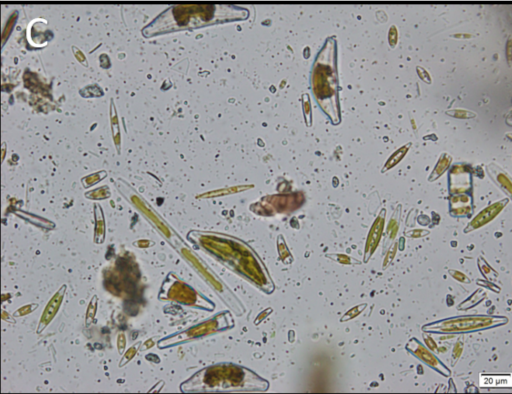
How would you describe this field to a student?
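The cells have clear, glass-like rigid walls and vary in form, including narrow spindle shapes, boat shapes and broader wedge- or fan-shaped outlines. Most contain golden-brown to olive plastids, which fill much of the cell or lie as bands along it. Some walls appear empty, with little or no coloured content. Brownish clumps of debris and many small particles lie among the cells.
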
